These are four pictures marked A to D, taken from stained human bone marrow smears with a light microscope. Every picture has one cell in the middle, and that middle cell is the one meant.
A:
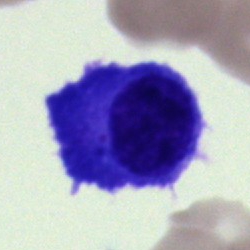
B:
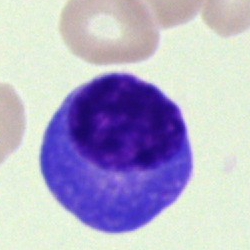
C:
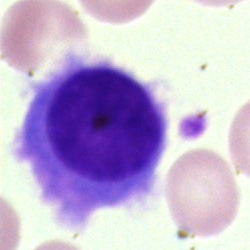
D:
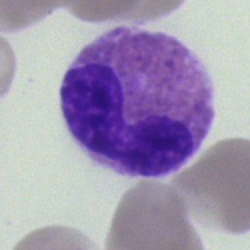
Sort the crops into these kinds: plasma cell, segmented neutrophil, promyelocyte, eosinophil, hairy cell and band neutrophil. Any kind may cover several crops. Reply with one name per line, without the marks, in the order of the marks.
plasma cell
plasma cell
hairy cell
eosinophil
